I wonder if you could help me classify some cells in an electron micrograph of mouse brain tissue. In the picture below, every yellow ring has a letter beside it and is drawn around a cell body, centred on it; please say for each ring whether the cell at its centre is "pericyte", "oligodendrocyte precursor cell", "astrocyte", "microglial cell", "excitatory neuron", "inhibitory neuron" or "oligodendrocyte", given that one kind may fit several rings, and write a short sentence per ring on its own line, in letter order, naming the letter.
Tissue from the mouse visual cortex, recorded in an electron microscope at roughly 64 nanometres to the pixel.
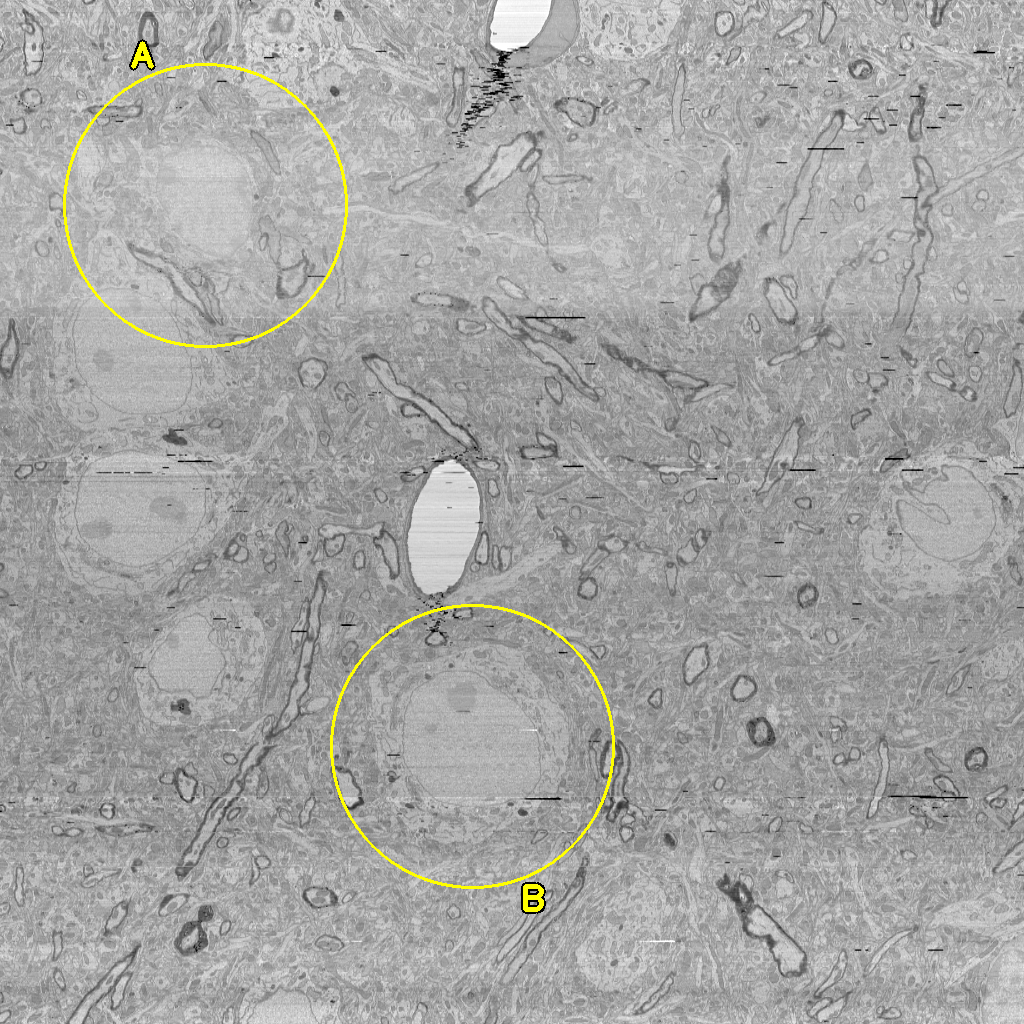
Centred in ring A is an astrocyte.
Centred in ring B is an excitatory neuron.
